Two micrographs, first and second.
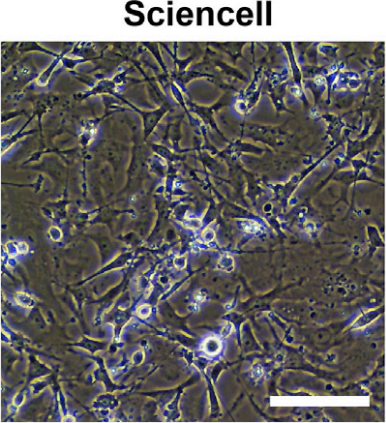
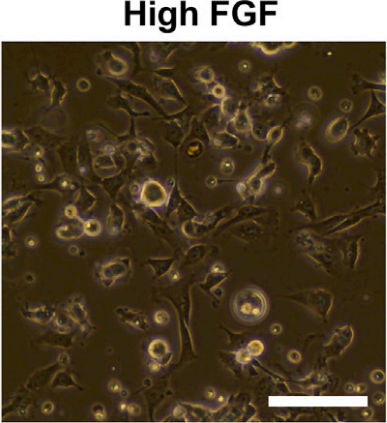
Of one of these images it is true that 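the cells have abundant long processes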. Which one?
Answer: The first image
